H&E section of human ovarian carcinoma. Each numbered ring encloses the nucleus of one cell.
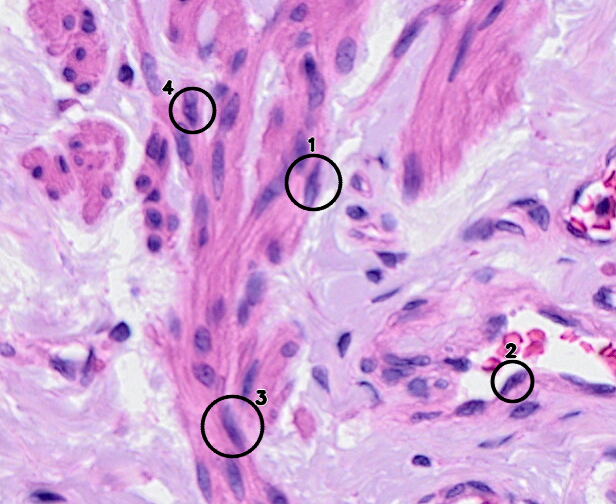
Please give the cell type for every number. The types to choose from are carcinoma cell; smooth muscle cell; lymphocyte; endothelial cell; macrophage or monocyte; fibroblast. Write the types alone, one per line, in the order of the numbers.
smooth muscle cell
endothelial cell
smooth muscle cell
smooth muscle cell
